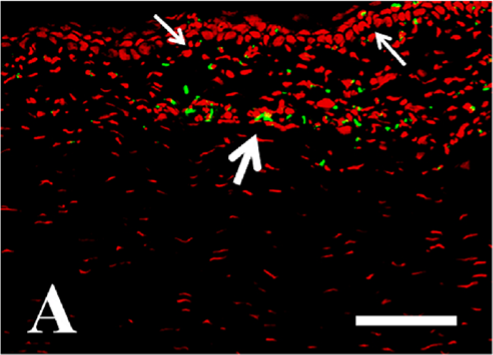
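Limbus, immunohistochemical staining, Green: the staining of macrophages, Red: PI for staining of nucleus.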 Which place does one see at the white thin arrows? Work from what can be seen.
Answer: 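The thin arrows point into the top band of densely packed red nuclei. This band forms a multilayered surface sheet above looser tissue. On this evidence: epithelial layer.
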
